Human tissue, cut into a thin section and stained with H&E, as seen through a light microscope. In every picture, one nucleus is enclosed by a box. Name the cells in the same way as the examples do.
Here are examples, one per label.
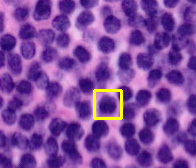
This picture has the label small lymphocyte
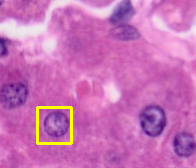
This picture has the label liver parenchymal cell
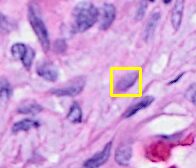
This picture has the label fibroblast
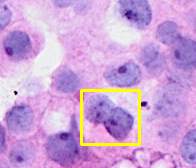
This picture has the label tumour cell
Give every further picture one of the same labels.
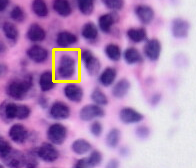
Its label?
small lymphocyte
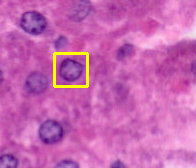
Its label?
liver parenchymal cell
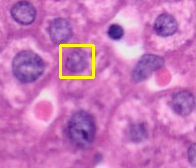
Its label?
liver parenchymal cell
